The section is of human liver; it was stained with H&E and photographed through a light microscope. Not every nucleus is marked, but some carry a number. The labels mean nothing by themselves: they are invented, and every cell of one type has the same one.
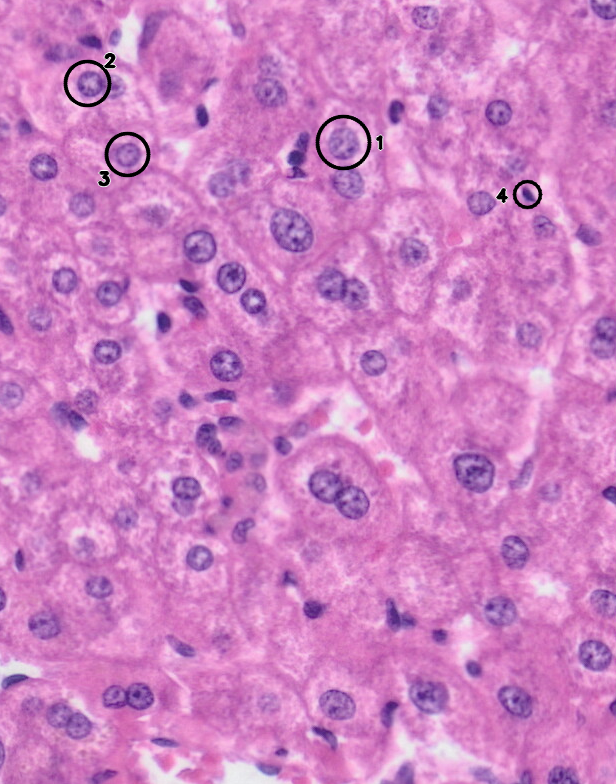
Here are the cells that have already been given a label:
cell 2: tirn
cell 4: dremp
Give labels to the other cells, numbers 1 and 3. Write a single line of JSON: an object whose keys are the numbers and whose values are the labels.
{"1": "tirn", "3": "tirn"}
